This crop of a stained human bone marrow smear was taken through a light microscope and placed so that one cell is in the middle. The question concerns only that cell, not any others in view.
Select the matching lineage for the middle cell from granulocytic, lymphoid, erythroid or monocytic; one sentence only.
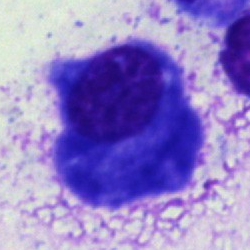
Regarding lineage, the cell in the center of this crop should be listed as lymphoid.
